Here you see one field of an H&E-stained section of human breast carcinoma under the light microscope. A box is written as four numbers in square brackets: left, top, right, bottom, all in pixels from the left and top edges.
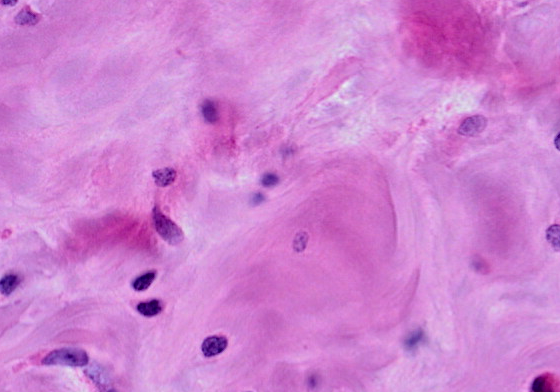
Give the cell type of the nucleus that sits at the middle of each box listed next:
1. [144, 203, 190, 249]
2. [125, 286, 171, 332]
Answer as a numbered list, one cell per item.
1. fibroblast
2. lymphocyte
